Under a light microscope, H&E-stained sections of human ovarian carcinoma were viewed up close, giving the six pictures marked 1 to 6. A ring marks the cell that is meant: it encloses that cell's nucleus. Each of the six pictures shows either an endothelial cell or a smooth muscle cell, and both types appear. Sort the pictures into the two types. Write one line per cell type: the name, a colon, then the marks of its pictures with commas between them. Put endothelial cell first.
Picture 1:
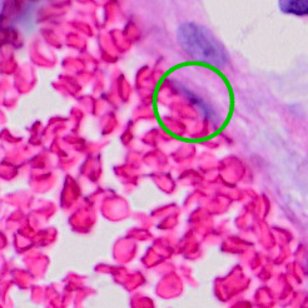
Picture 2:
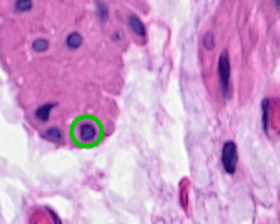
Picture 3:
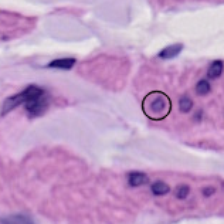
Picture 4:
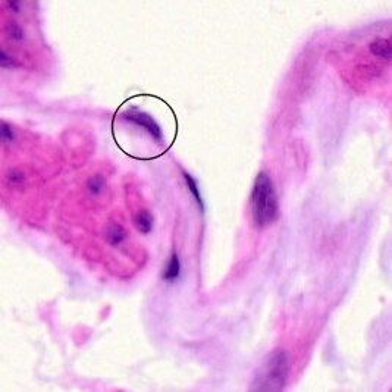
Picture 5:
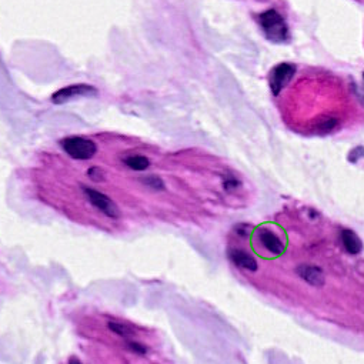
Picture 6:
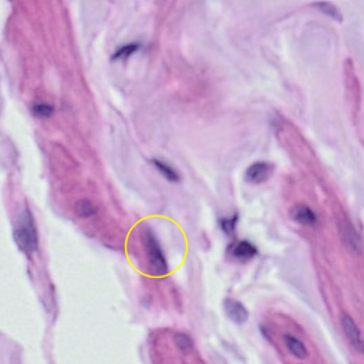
endothelial cell: 1, 4
smooth muscle cell: 2, 3, 5, 6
